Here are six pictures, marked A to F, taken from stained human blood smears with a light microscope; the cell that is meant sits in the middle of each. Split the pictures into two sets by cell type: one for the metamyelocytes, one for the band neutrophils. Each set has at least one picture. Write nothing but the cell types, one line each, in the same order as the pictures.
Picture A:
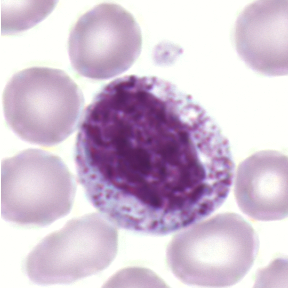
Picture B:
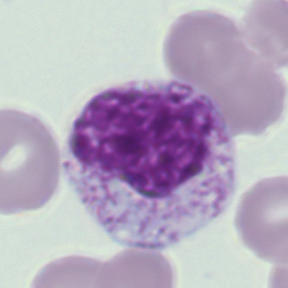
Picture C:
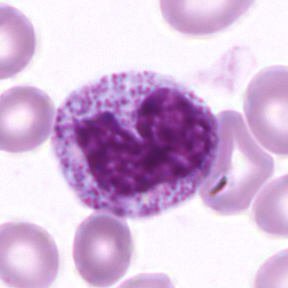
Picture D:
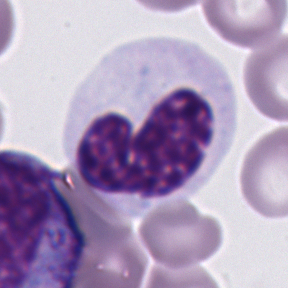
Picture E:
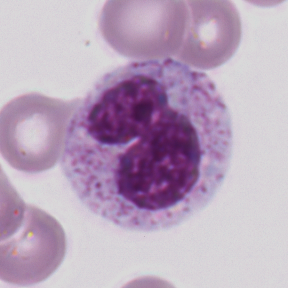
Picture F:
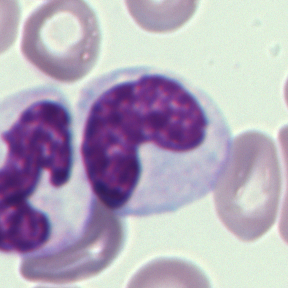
metamyelocyte
metamyelocyte
band neutrophil
band neutrophil
band neutrophil
band neutrophil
